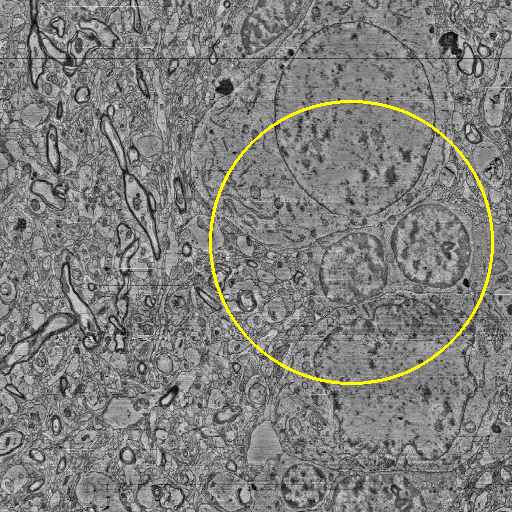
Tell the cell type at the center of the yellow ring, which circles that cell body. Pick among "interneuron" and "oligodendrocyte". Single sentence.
The ring is centered on the body of an oligodendrocyte.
